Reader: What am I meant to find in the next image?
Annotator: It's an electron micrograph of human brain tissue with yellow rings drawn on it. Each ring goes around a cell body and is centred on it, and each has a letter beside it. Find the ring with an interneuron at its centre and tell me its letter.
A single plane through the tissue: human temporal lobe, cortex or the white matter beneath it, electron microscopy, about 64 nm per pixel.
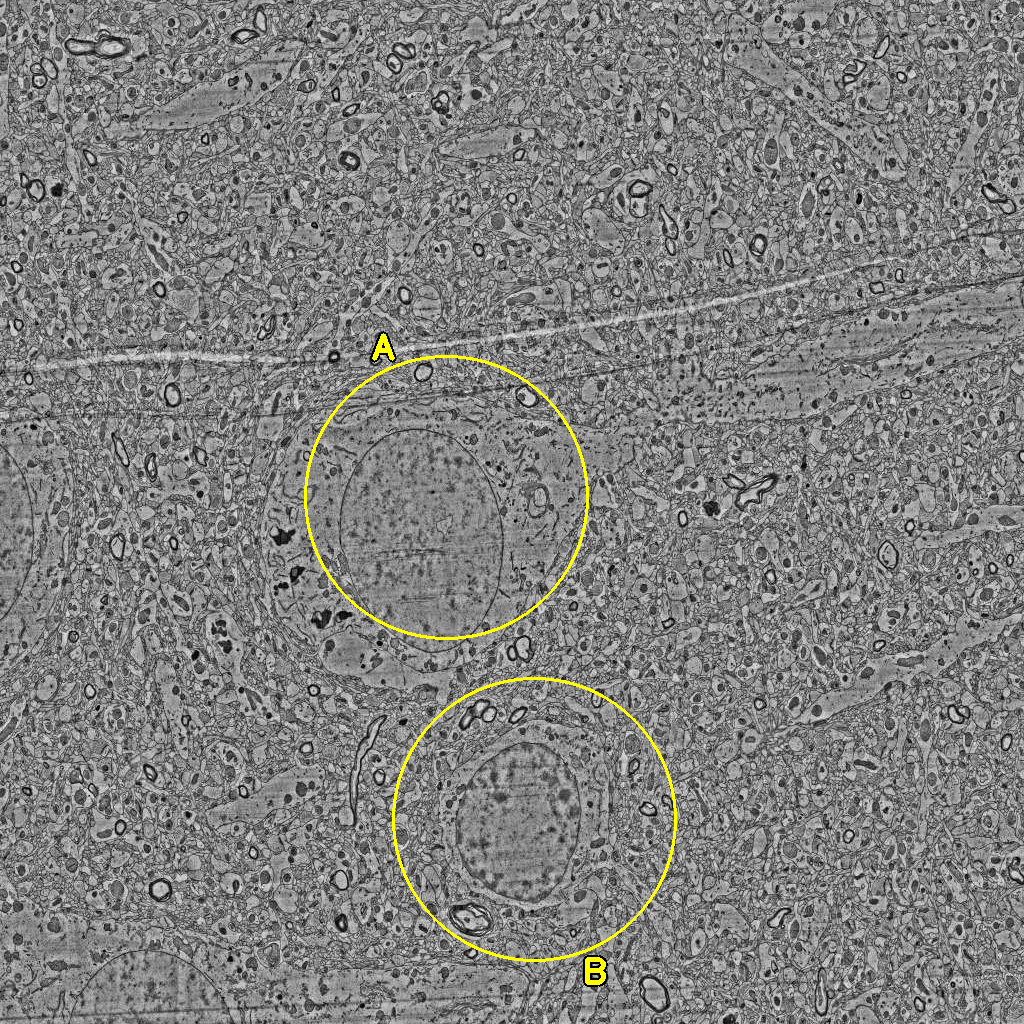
B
